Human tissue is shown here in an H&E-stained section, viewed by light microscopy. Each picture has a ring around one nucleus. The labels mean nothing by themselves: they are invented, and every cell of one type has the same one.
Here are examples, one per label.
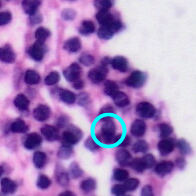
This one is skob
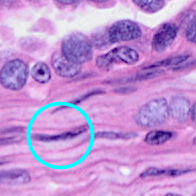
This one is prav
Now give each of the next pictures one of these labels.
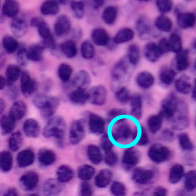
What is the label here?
skob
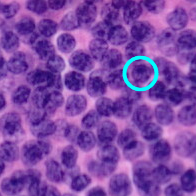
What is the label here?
skob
